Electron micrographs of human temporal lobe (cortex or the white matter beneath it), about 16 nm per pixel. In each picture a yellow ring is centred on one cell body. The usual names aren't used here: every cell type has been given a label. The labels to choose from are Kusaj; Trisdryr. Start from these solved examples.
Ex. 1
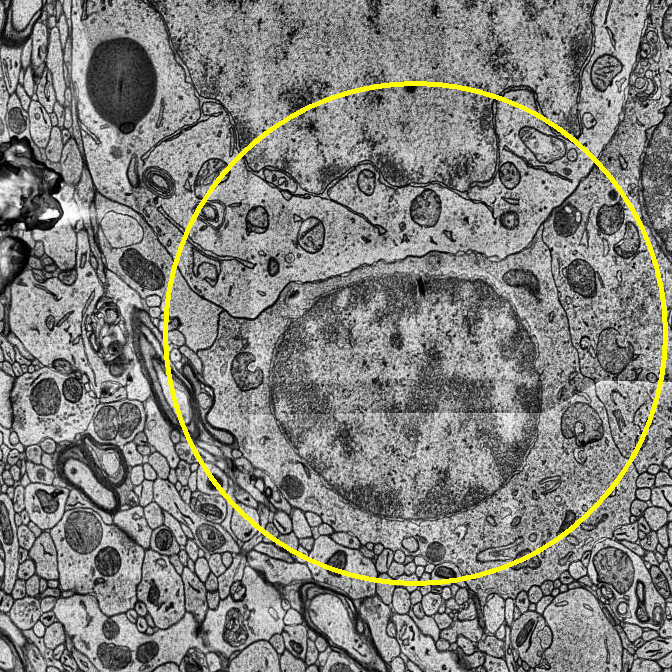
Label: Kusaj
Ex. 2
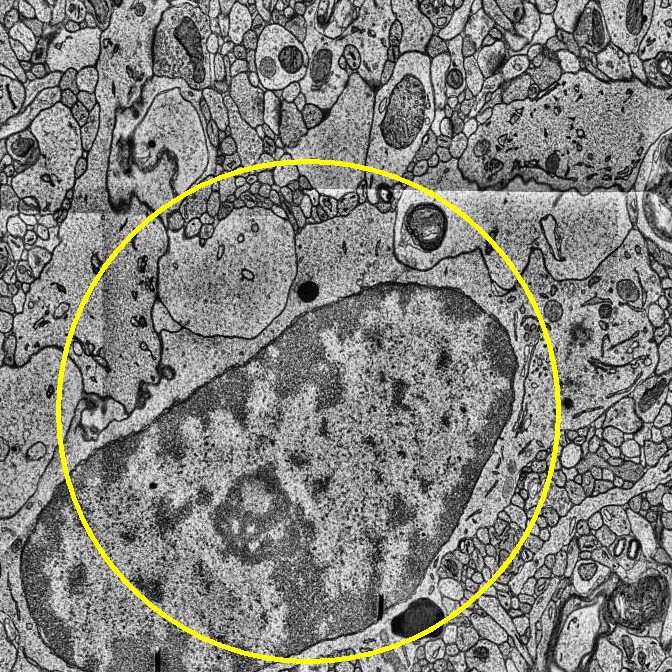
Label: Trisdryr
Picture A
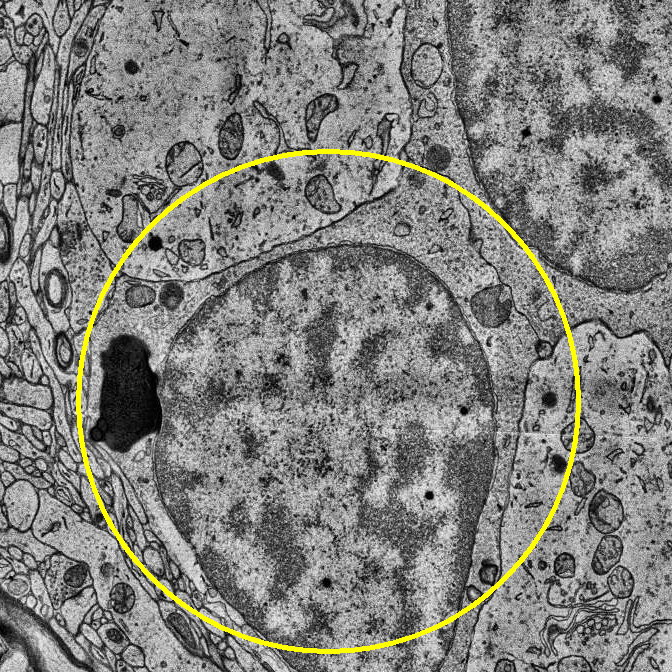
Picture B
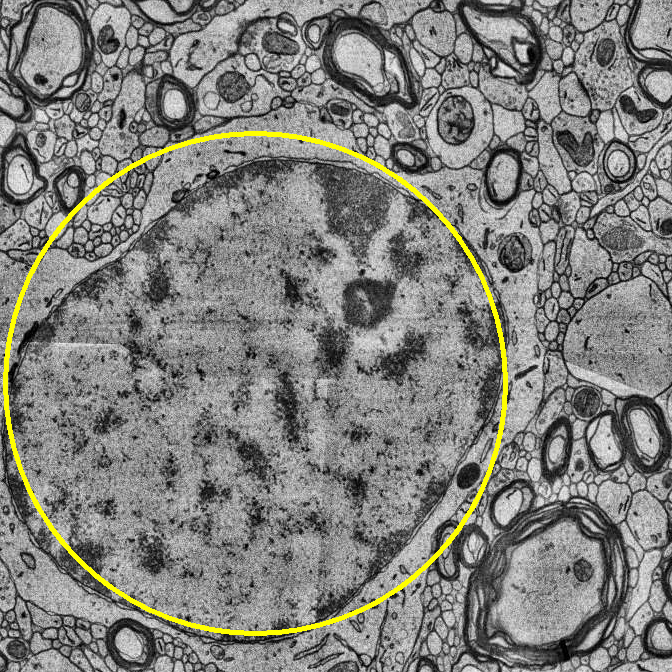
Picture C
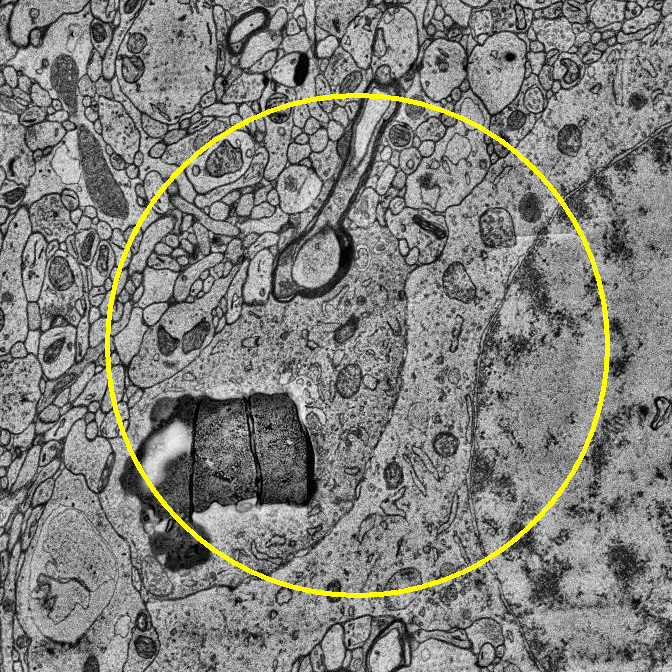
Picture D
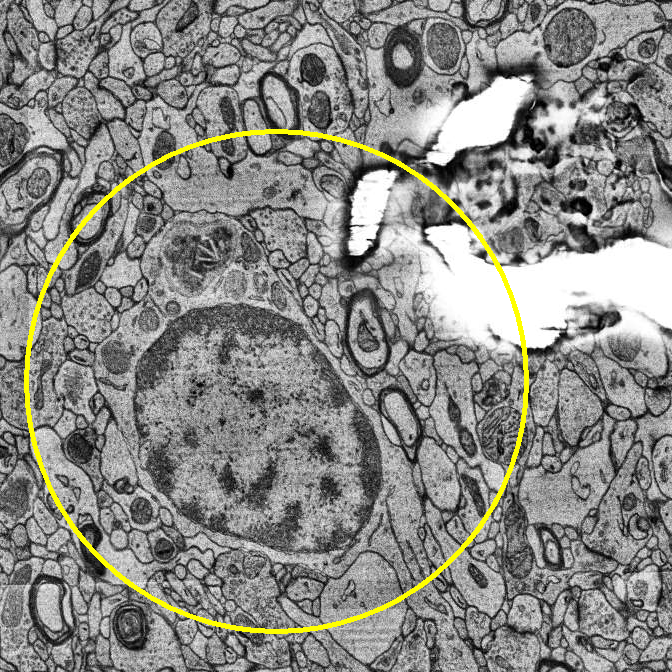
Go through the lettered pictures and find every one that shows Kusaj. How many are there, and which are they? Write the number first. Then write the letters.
Count: 2 (A, C)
